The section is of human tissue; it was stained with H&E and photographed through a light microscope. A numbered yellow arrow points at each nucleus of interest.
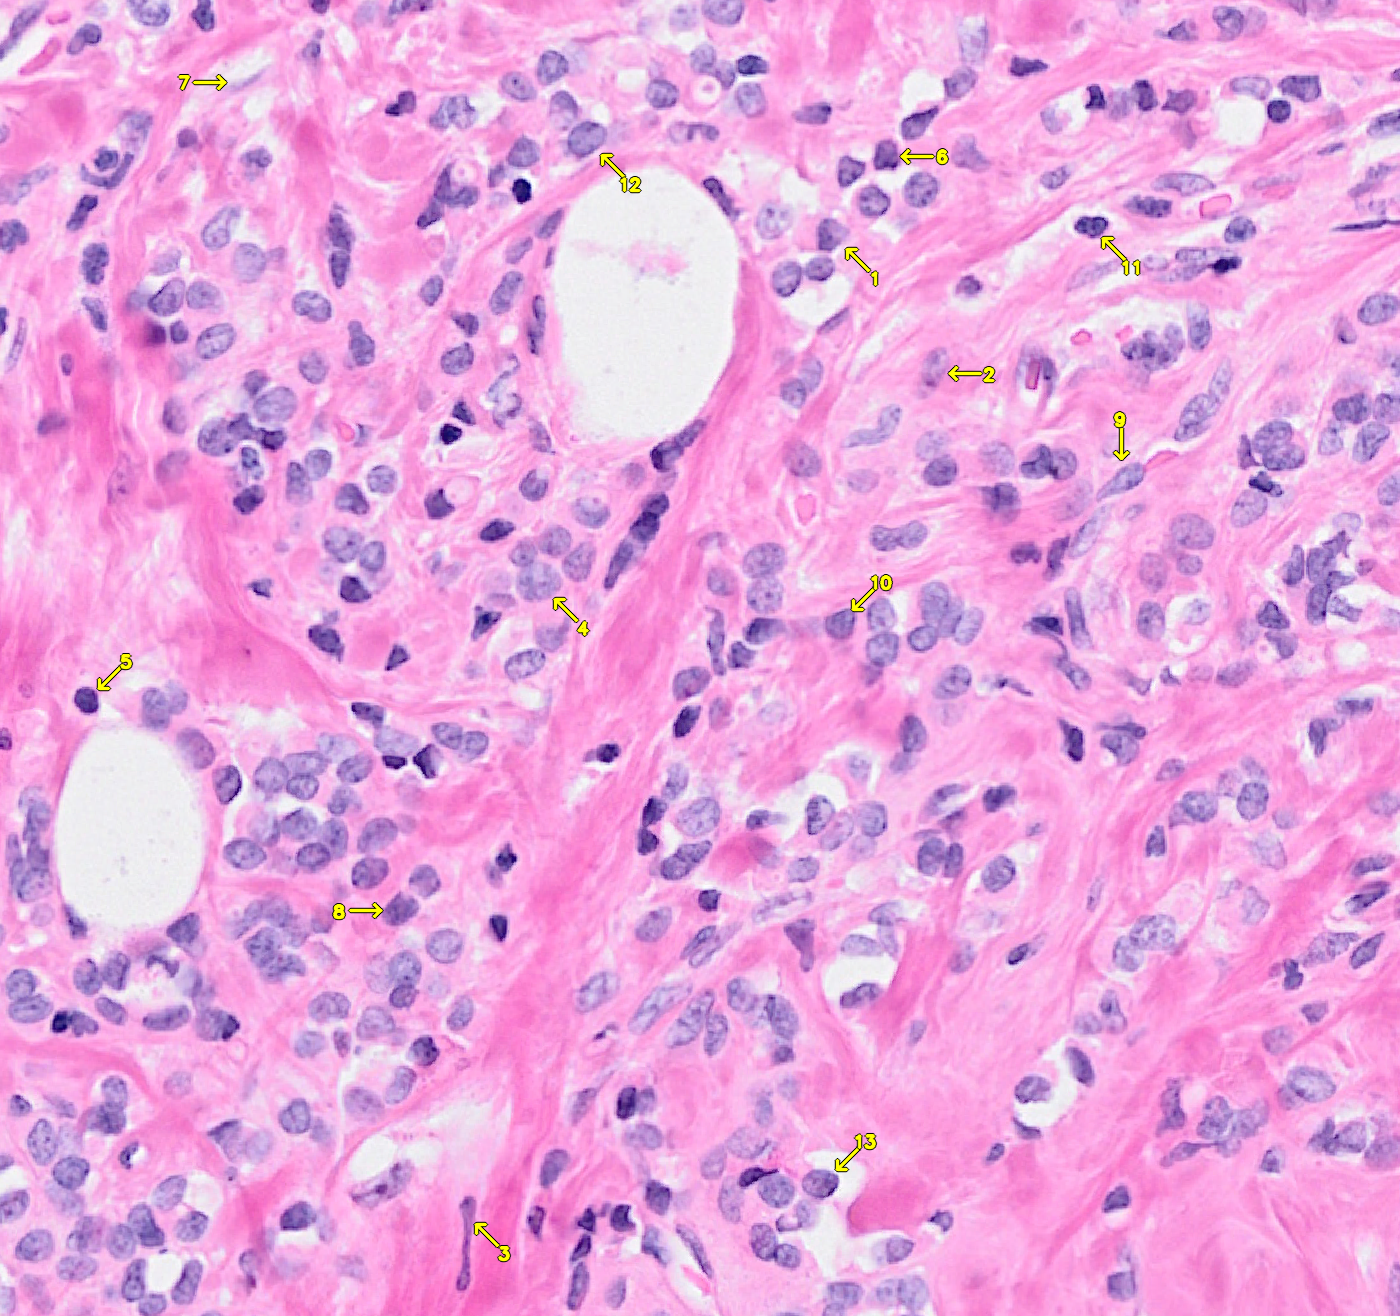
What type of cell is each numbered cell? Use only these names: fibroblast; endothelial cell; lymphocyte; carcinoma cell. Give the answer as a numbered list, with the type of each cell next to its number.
1. carcinoma cell
2. fibroblast
3. fibroblast
4. carcinoma cell
5. lymphocyte
6. carcinoma cell
7. fibroblast
8. carcinoma cell
9. endothelial cell
10. carcinoma cell
11. lymphocyte
12. carcinoma cell
13. carcinoma cell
